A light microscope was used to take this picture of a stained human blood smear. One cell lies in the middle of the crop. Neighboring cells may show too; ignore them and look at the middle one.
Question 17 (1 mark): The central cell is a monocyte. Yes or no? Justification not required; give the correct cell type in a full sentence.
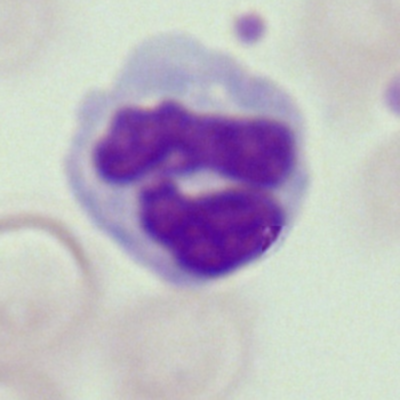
Yes, the middle cell is properly termed a monocyte.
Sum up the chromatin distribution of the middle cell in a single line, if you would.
Just so you know, its chromatin is coarsely clumped.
